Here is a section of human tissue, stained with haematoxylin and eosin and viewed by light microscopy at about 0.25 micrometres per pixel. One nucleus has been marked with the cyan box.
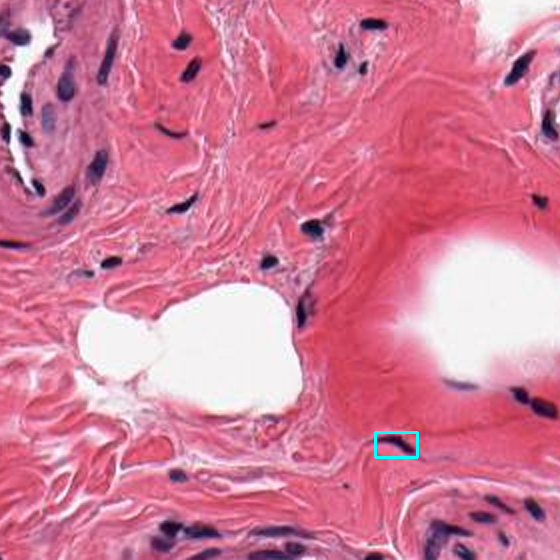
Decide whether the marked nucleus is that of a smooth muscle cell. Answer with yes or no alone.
no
